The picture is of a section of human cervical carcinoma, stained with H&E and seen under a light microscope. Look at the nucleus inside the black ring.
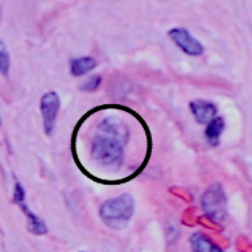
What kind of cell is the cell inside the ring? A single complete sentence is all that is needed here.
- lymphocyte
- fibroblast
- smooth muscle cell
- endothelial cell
In short, the cell inside the ring on this section is an endothelial cell.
